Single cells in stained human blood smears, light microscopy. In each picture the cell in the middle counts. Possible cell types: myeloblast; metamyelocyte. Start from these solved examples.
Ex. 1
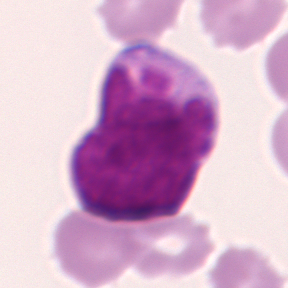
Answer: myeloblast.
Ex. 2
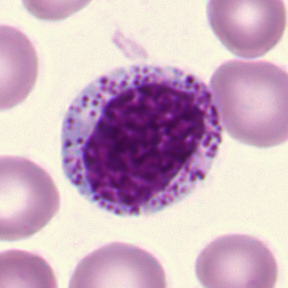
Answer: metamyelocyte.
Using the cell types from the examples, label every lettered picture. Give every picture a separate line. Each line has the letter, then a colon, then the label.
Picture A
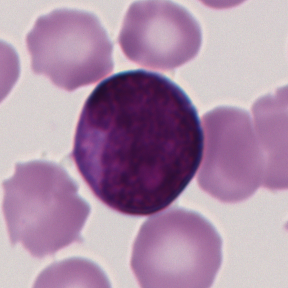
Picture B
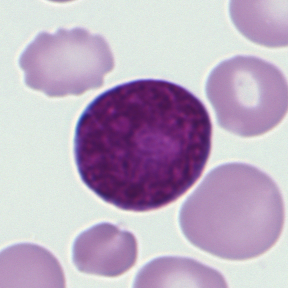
A: myeloblast.
B: myeloblast.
